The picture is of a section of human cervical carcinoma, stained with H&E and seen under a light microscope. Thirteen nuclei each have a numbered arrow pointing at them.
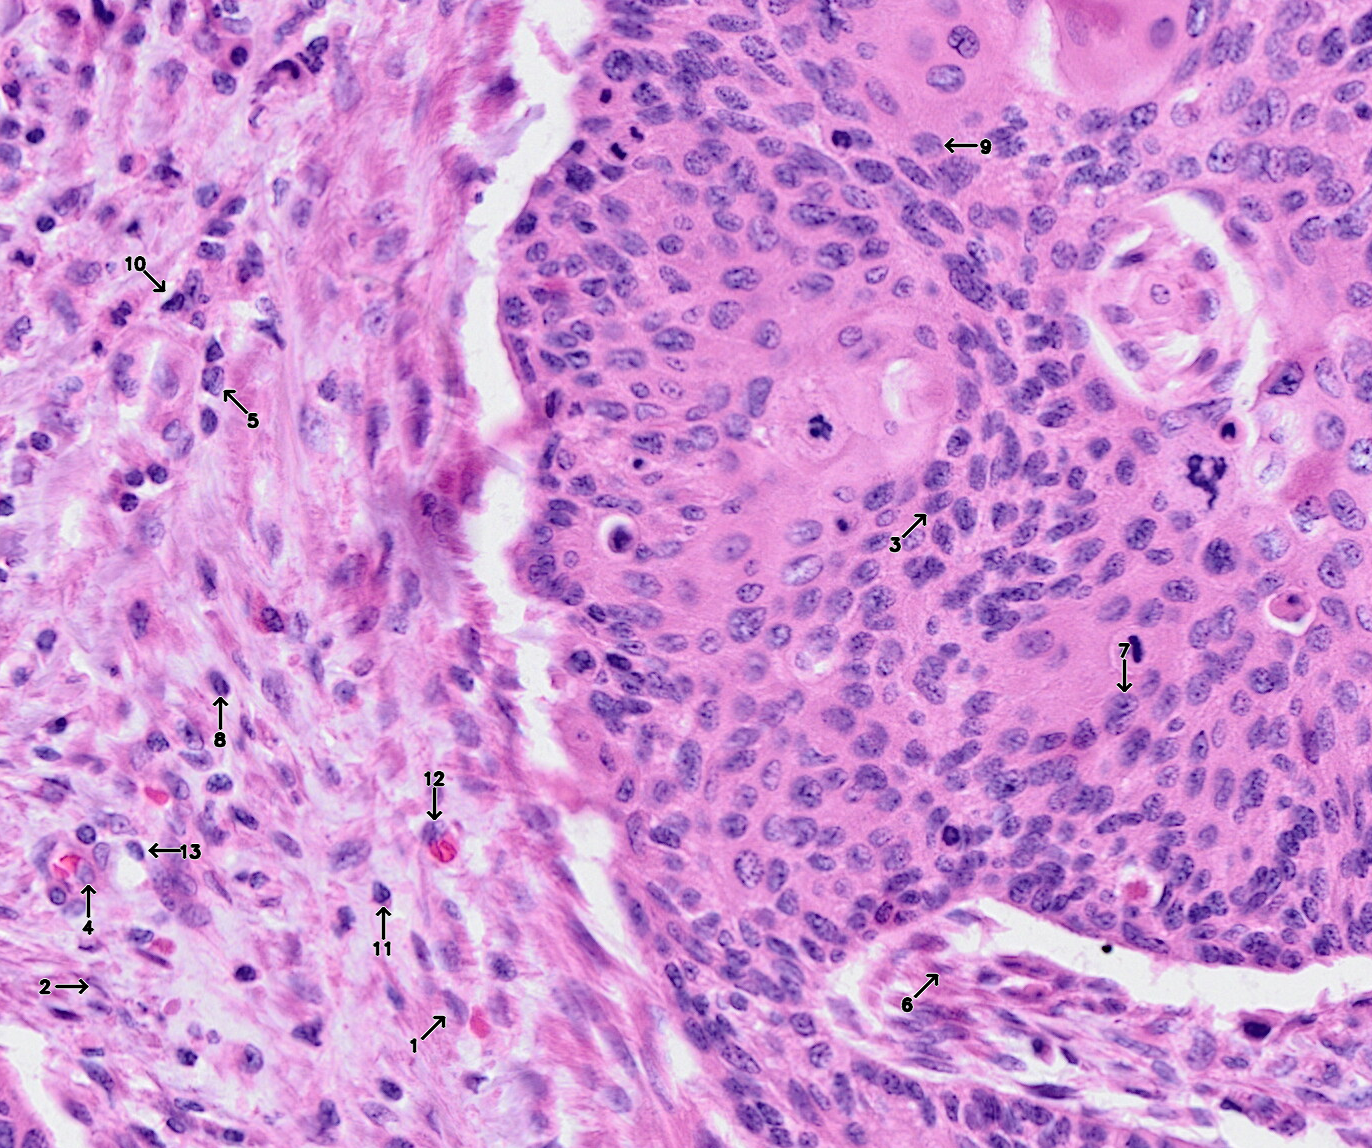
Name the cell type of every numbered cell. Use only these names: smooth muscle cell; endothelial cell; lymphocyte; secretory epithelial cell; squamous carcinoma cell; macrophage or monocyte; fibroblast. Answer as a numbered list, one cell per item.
1. endothelial cell
2. fibroblast
3. squamous carcinoma cell
4. endothelial cell
5. lymphocyte
6. fibroblast
7. squamous carcinoma cell
8. lymphocyte
9. squamous carcinoma cell
10. lymphocyte
11. lymphocyte
12. endothelial cell
13. lymphocyte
